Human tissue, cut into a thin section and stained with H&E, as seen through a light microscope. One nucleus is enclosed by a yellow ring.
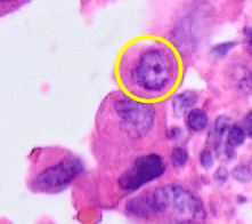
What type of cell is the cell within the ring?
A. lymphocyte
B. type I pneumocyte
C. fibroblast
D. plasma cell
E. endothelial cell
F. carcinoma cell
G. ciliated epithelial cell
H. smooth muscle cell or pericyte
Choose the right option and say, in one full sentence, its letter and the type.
According to option F, the cell within the ring is a carcinoma cell, and this is correct.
